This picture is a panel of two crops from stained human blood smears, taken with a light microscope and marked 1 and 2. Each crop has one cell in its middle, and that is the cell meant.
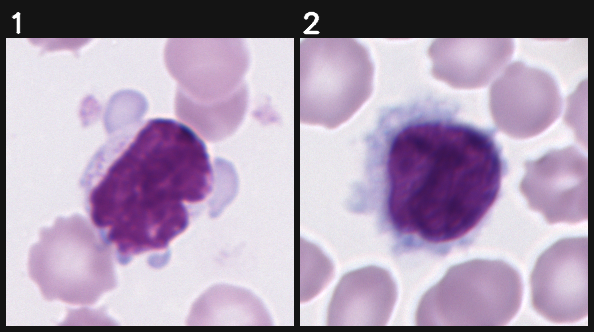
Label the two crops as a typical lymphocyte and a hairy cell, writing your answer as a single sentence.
Crop 2 shows a hairy cell, and crop 1 shows a typical lymphocyte.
